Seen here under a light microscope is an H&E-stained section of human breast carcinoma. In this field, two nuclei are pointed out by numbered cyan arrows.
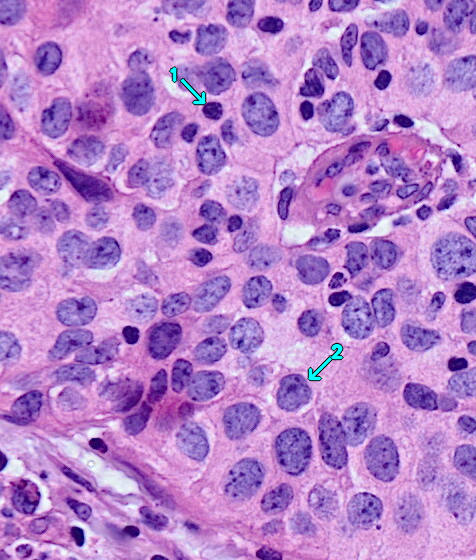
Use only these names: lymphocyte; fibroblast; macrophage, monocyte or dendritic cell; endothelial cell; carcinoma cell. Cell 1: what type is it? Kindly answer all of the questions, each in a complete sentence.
The cell that carries the label 1 is a lymphocyte.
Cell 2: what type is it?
Among the marked cells, number 2 is a carcinoma cell.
